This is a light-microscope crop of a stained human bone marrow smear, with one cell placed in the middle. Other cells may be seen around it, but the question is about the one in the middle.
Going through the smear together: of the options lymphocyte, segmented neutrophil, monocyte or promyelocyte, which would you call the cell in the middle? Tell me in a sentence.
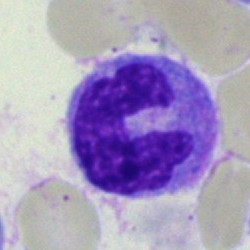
In the central position of this crop, the cell is a monocyte.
